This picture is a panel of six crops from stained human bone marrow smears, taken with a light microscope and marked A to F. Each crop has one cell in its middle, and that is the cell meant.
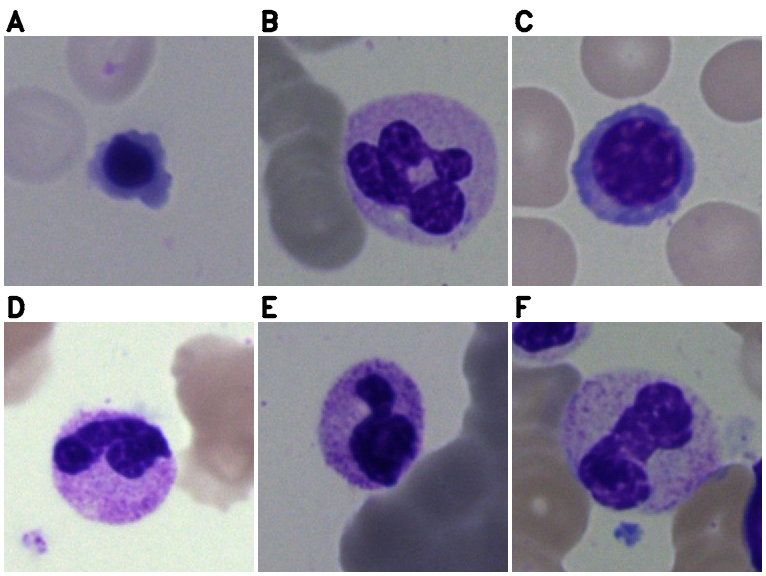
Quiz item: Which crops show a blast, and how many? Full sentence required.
Given that no crop shows blasts, the count of them is zero.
